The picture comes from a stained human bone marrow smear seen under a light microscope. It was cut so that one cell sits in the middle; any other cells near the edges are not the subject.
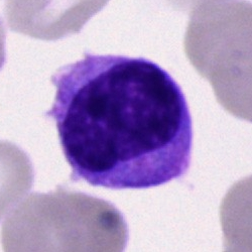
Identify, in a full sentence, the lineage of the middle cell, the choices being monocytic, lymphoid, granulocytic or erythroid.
Placed within the monocytic lineage is the cell in the middle.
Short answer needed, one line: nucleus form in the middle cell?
Key feature: a single compact nucleus, round, oval or kidney-shaped.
